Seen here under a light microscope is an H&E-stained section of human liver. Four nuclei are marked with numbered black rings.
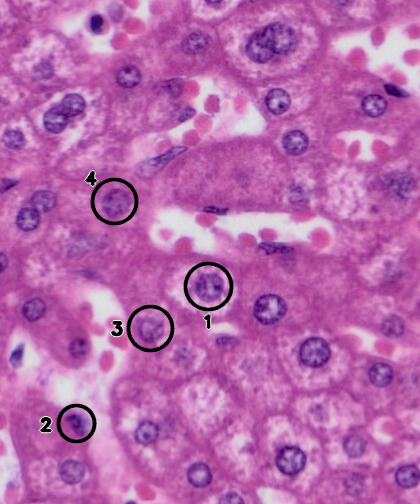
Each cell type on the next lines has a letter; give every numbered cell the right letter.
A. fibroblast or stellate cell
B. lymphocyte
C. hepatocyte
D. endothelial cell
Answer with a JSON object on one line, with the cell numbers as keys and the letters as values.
{"1": "C", "2": "D", "3": "C", "4": "C"}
